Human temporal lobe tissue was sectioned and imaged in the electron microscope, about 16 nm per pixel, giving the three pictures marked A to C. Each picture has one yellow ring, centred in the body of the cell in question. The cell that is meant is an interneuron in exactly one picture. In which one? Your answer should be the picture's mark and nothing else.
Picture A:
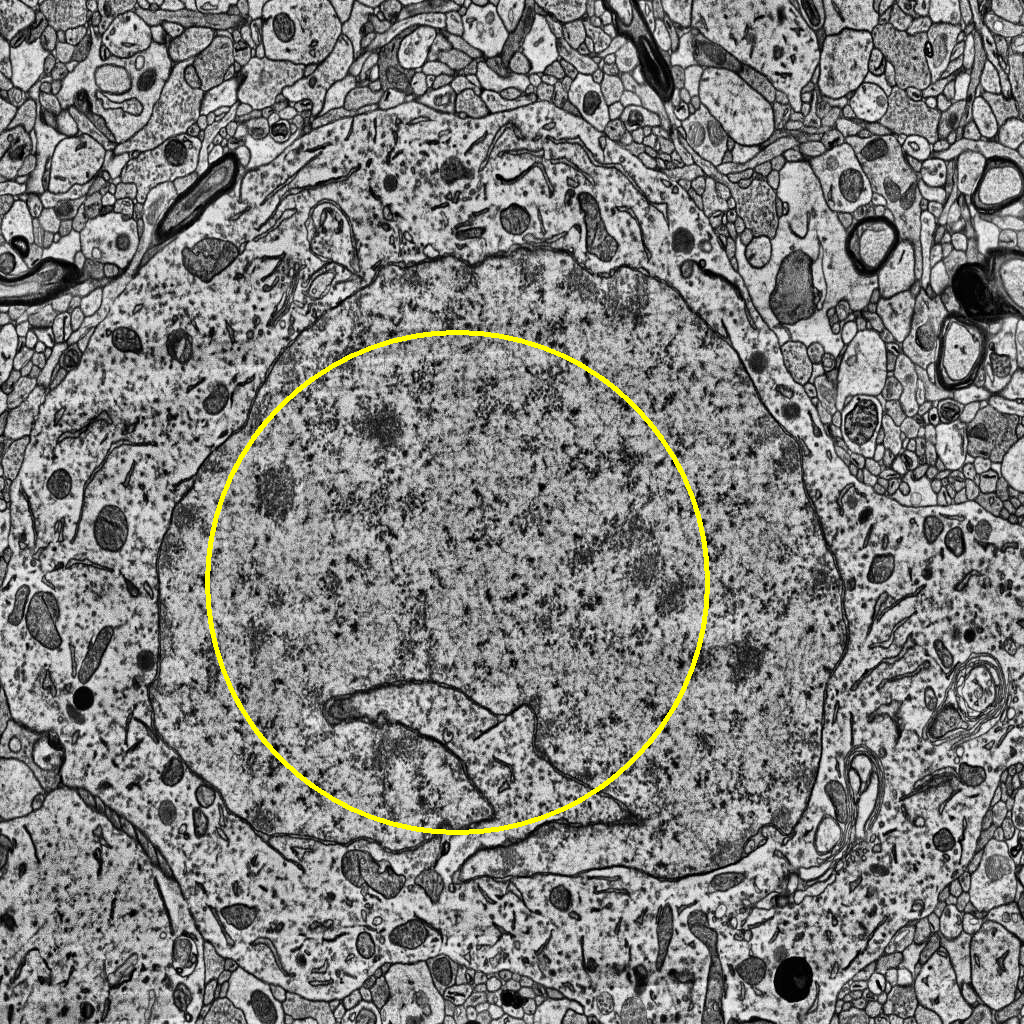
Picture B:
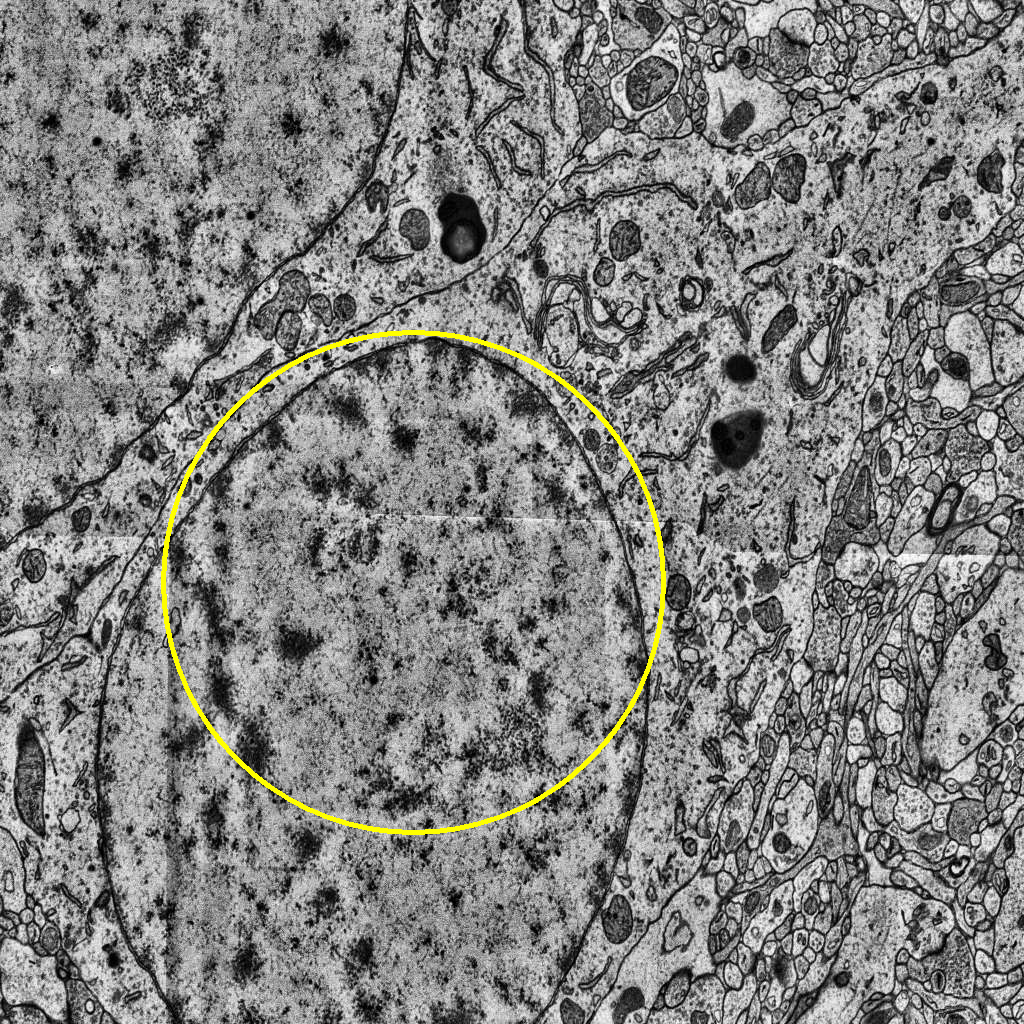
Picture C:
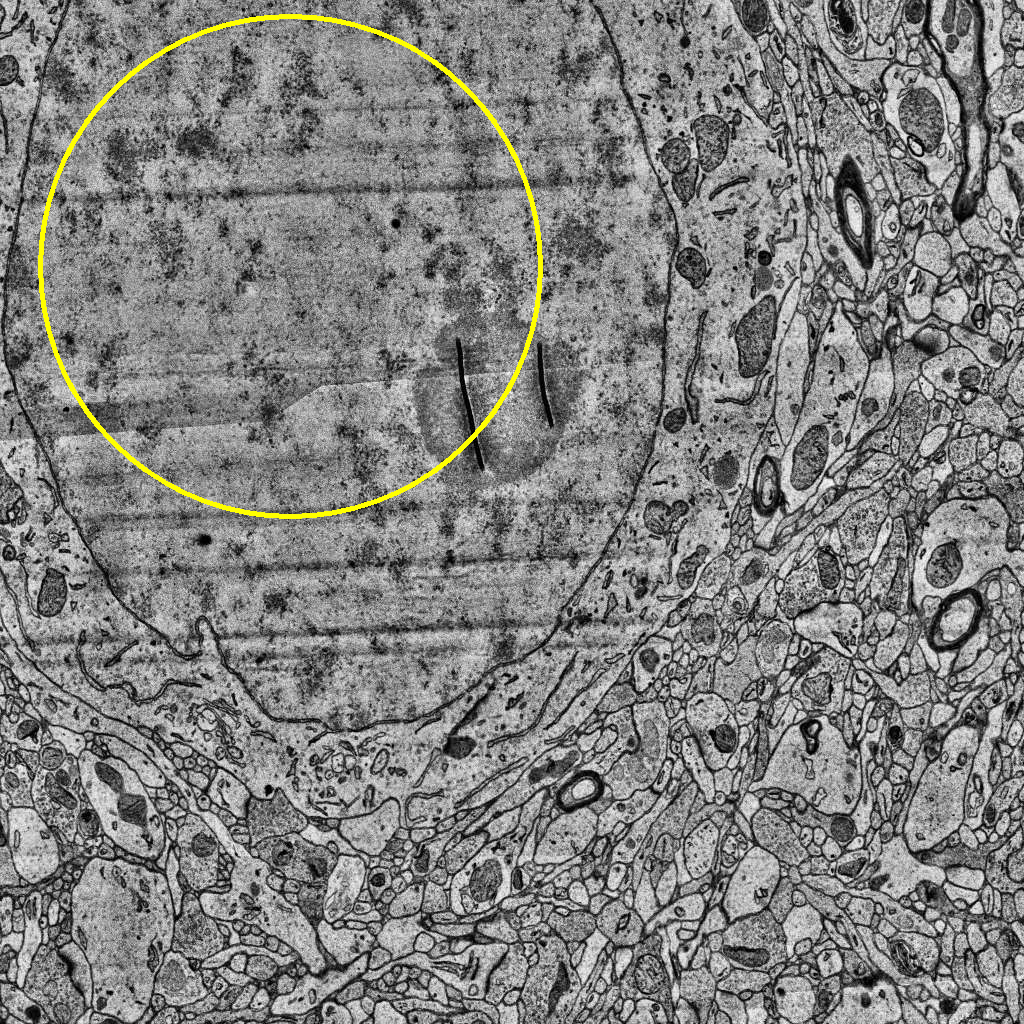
A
